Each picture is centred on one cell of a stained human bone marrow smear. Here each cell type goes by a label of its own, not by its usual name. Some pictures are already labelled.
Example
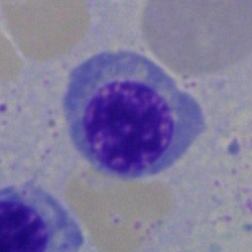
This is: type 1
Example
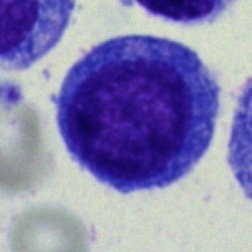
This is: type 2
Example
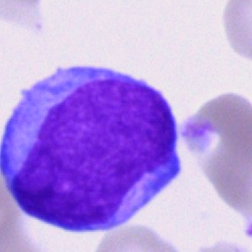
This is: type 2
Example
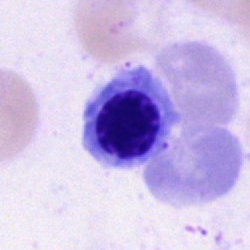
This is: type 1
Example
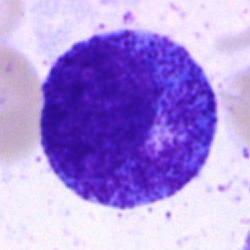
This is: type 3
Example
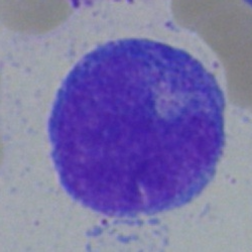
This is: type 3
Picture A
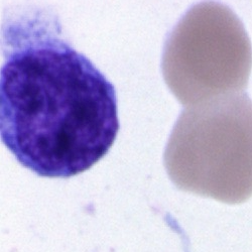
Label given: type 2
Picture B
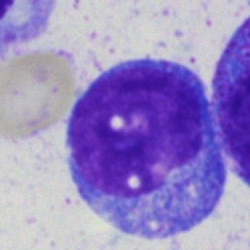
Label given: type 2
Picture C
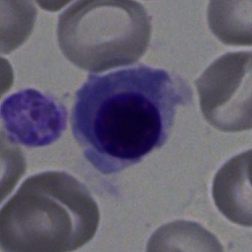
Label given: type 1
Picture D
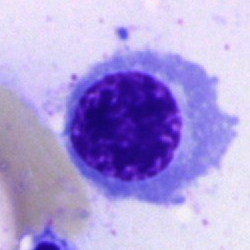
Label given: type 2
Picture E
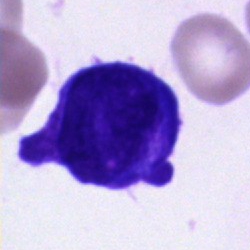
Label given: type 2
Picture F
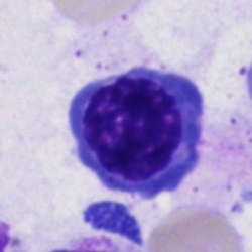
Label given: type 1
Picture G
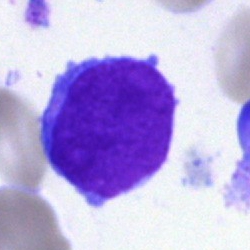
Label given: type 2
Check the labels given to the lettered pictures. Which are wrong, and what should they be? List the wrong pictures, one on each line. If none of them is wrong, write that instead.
D: not type 2 but type 1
